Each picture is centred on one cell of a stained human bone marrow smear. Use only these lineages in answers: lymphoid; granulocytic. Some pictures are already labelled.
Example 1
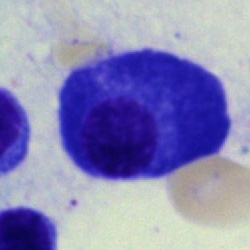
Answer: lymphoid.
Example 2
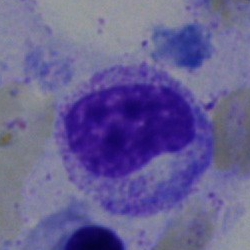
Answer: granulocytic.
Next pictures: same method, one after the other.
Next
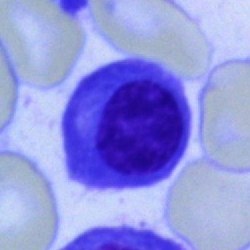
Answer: lymphoid.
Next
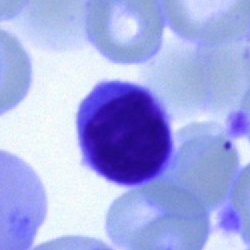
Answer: lymphoid.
